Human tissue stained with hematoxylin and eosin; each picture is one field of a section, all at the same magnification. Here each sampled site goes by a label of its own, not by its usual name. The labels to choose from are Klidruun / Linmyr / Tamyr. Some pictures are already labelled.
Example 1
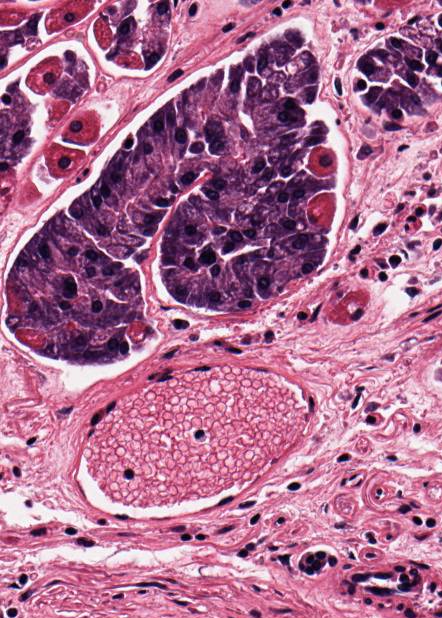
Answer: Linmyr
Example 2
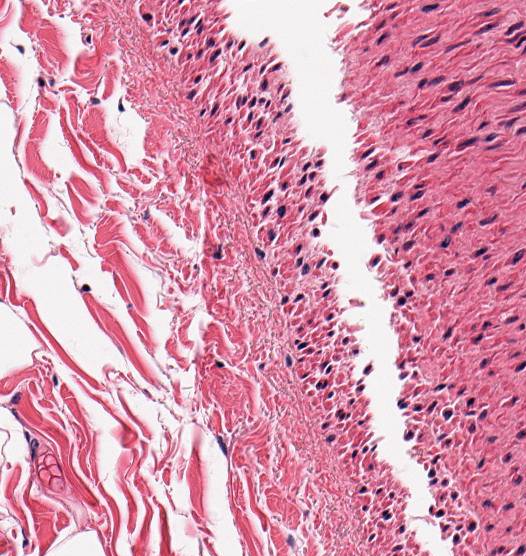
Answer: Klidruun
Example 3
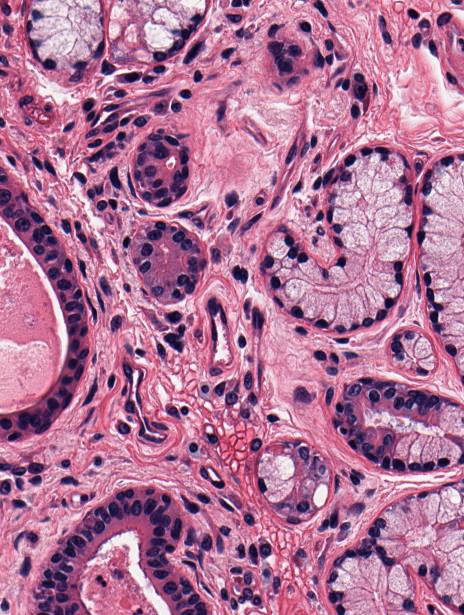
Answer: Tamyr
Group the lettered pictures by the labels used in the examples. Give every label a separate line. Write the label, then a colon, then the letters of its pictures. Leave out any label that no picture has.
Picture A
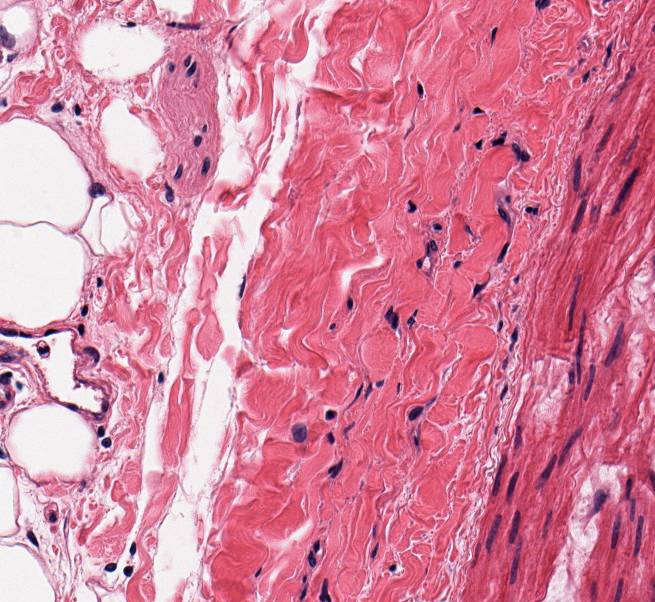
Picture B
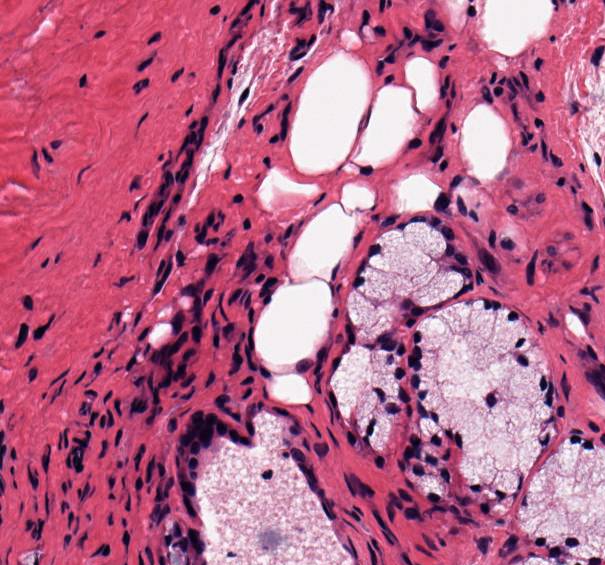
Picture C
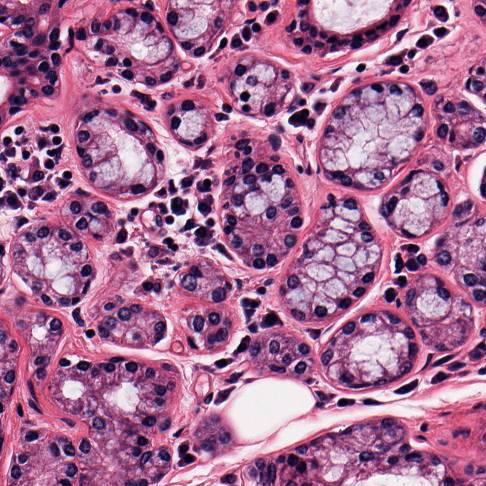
Klidruun: A
Tamyr: B, C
